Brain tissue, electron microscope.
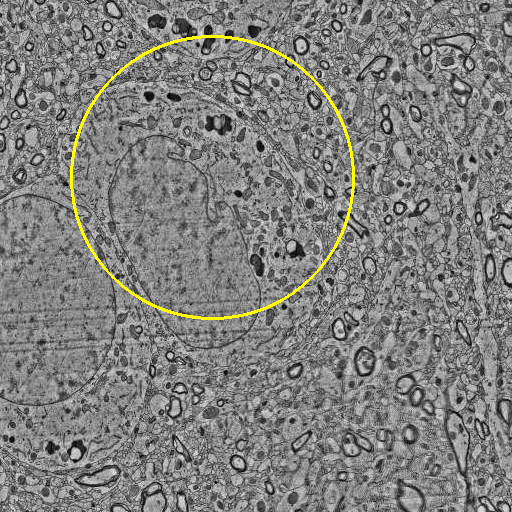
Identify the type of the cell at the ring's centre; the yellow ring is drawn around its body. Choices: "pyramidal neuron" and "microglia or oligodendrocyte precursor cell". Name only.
pyramidal neuron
